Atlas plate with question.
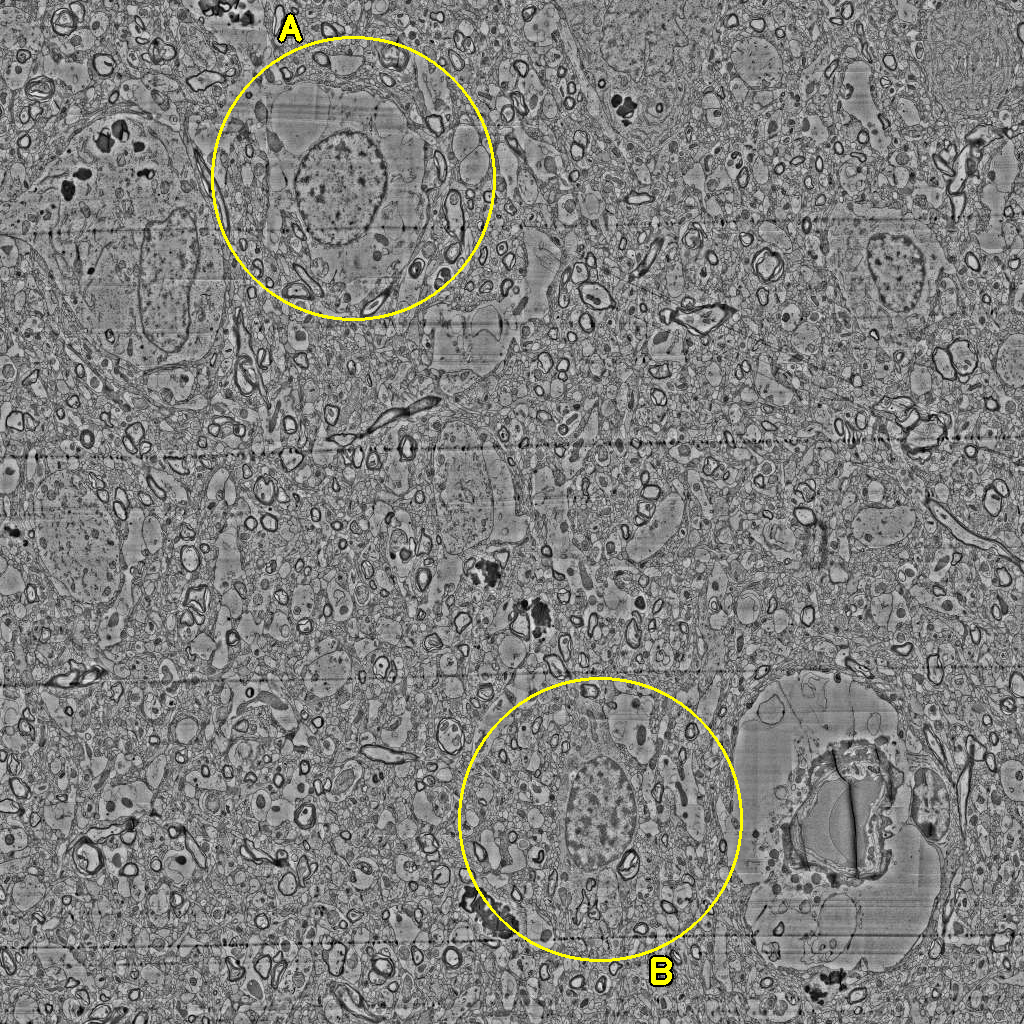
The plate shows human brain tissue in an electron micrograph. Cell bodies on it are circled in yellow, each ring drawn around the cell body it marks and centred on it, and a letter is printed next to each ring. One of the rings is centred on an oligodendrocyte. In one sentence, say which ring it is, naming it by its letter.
It is ring B.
